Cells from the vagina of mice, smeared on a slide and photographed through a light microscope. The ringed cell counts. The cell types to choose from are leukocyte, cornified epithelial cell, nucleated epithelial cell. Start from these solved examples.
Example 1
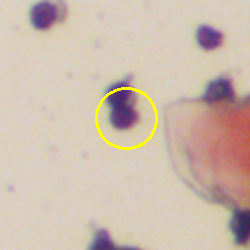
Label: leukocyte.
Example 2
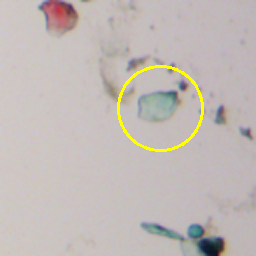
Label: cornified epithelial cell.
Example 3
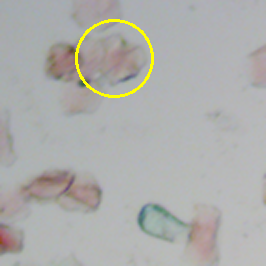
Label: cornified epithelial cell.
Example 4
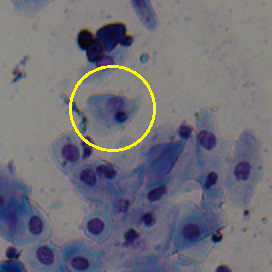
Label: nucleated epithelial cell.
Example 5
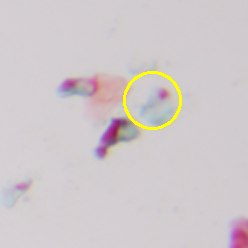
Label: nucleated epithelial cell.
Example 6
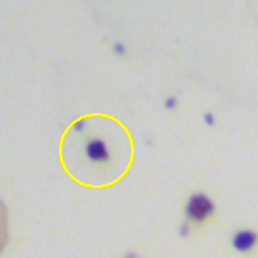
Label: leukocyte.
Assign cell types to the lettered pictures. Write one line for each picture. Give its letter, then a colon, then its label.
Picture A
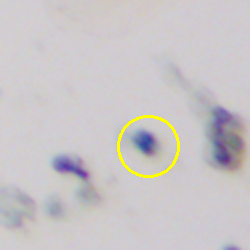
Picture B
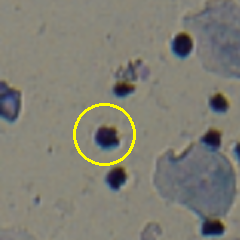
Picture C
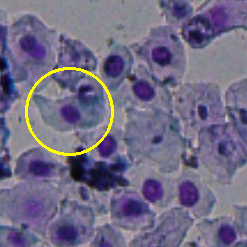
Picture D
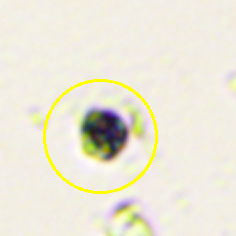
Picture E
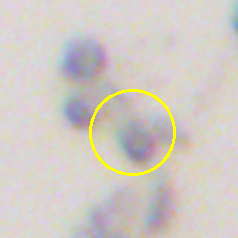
A: leukocyte.
B: leukocyte.
C: nucleated epithelial cell.
D: leukocyte.
E: leukocyte.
